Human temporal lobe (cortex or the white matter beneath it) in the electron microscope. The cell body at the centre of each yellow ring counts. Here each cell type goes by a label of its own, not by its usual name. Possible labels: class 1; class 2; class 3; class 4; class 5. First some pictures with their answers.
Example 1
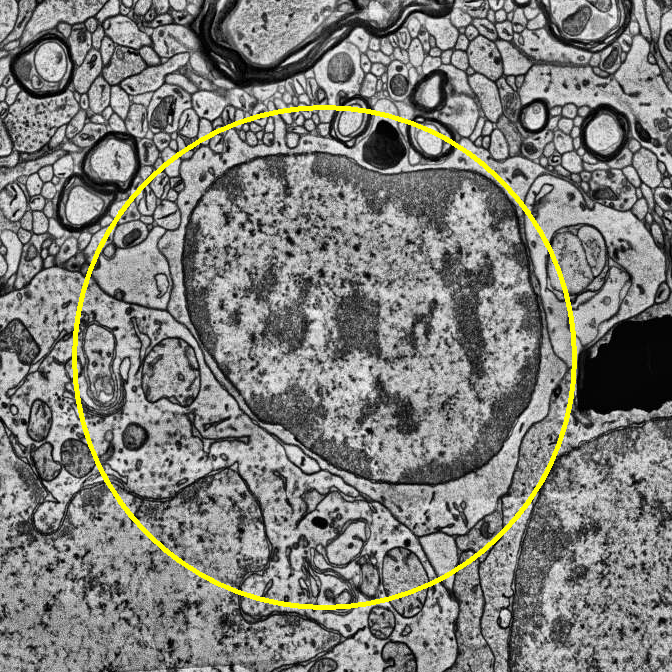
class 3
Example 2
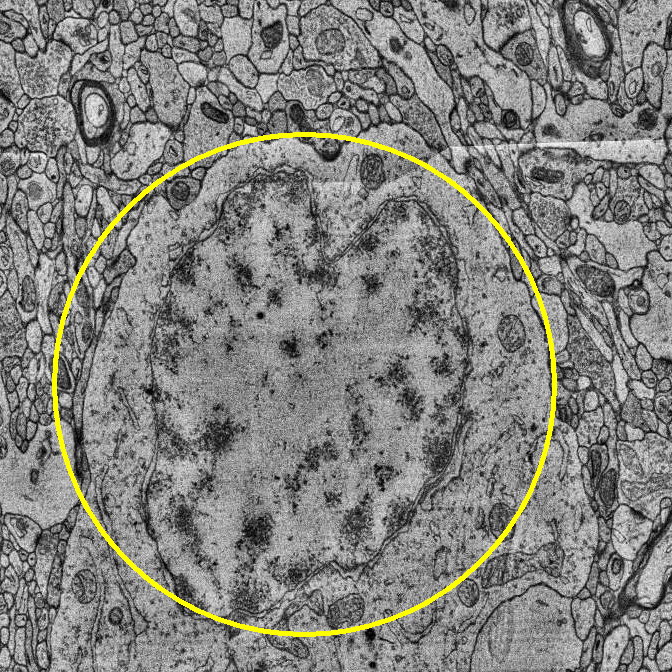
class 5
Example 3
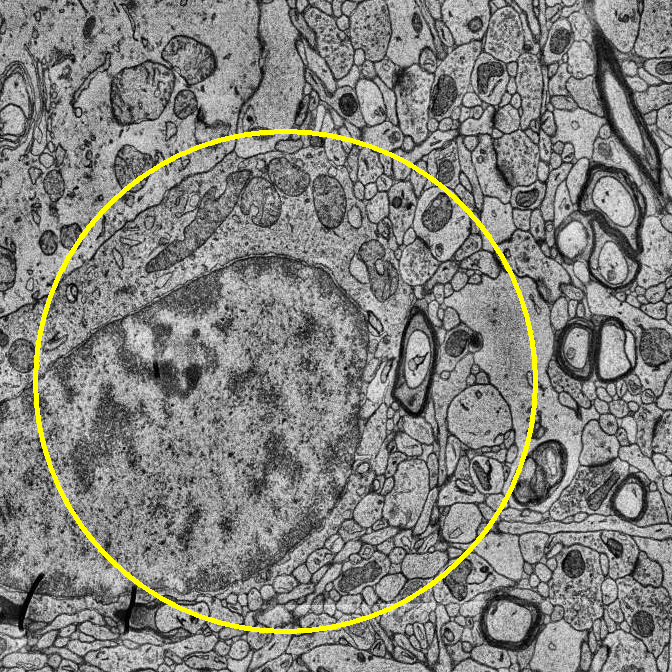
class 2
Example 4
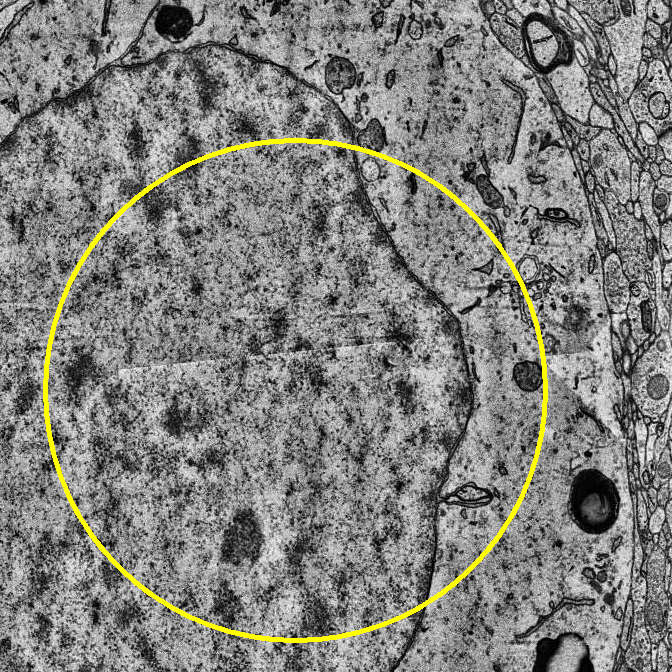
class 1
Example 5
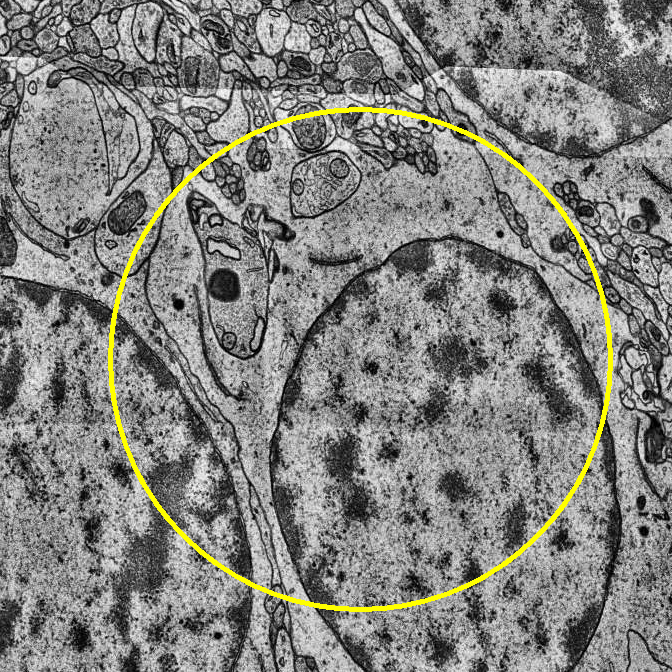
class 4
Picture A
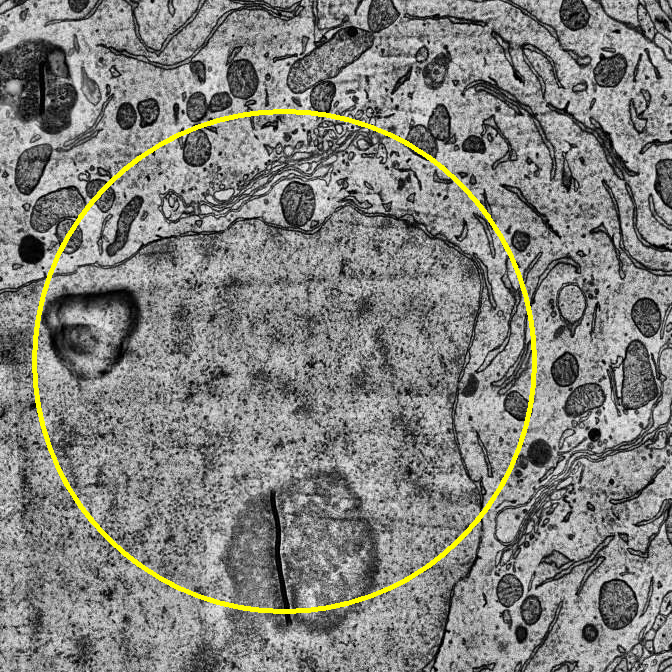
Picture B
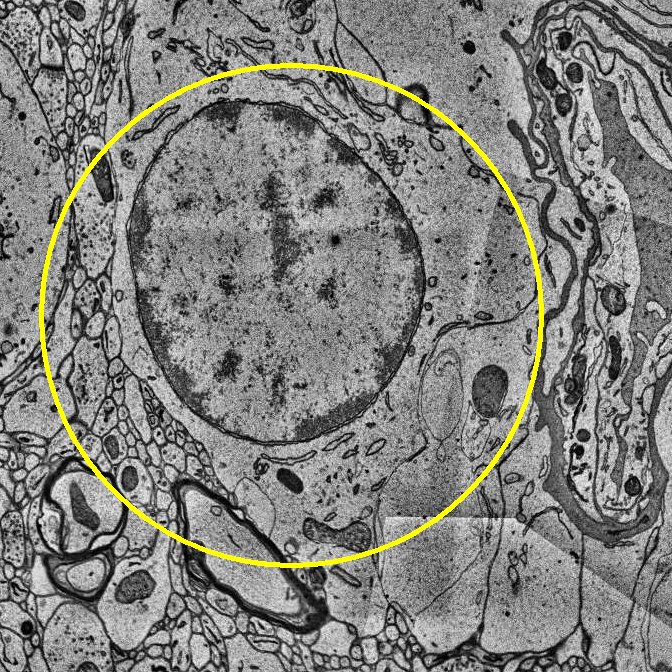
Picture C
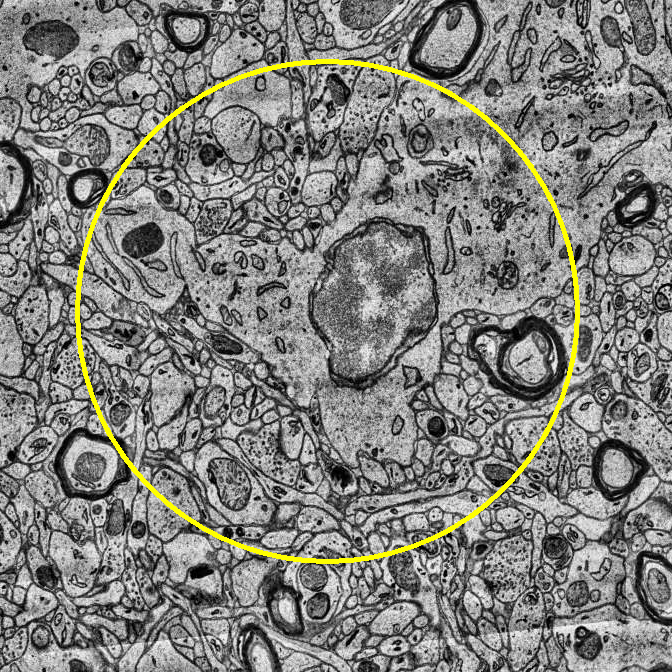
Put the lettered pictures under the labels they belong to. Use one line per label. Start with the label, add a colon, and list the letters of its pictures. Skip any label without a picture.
class 3: B, C
class 5: A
